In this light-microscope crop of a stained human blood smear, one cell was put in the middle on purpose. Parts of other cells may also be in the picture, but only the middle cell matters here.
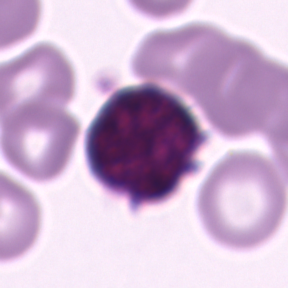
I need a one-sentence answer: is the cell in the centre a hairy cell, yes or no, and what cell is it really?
No, that is not a hairy cell; the middle cell is a myeloblast.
